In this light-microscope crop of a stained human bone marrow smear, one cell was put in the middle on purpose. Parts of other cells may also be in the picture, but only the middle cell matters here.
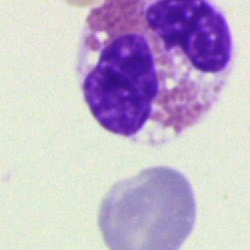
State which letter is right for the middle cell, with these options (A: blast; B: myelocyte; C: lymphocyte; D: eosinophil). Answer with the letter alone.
D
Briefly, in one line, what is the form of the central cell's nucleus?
Multiple nuclear lobes, two or more, can be counted in this cell.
